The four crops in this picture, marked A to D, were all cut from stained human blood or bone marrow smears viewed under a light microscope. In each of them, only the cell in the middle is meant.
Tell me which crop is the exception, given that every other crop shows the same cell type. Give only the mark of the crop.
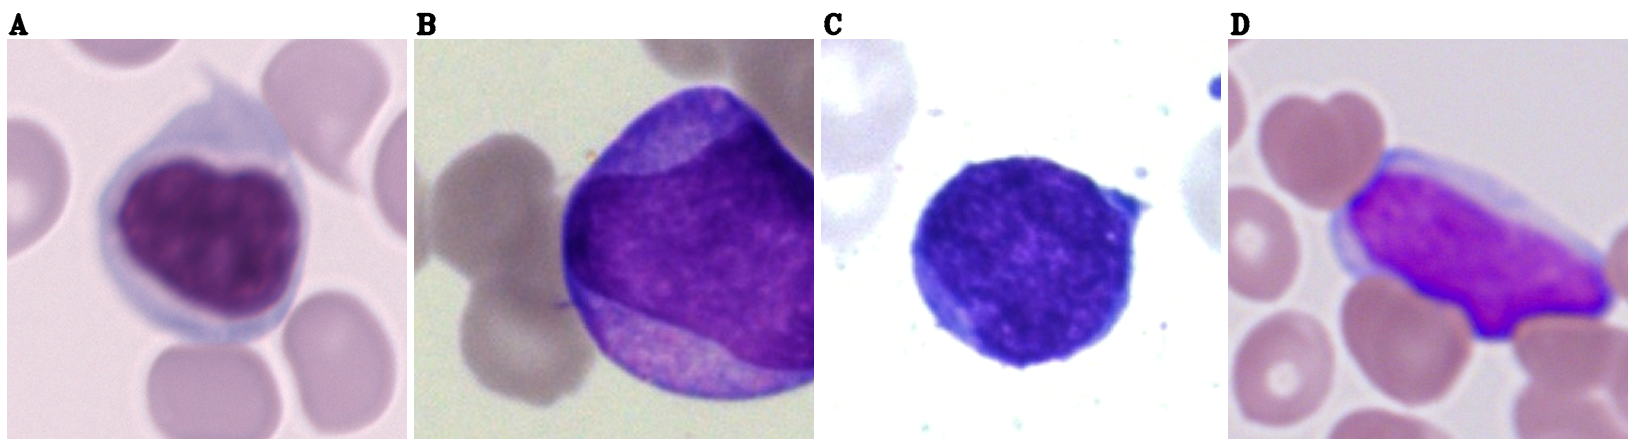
A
